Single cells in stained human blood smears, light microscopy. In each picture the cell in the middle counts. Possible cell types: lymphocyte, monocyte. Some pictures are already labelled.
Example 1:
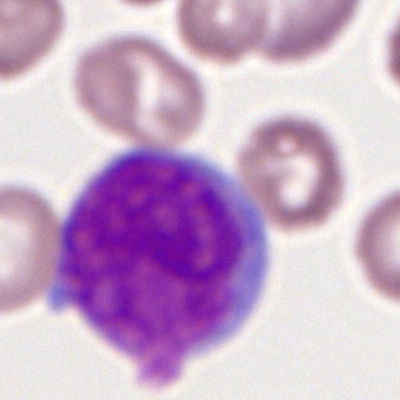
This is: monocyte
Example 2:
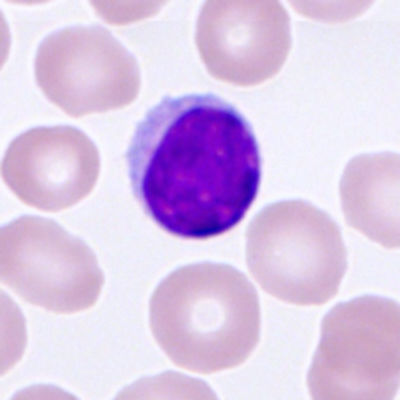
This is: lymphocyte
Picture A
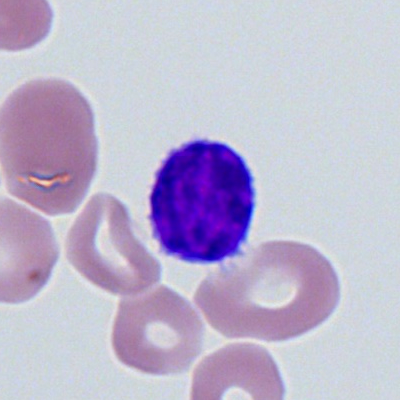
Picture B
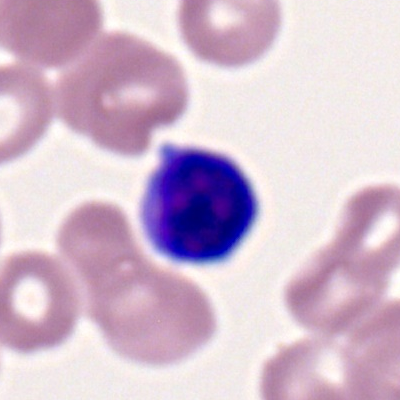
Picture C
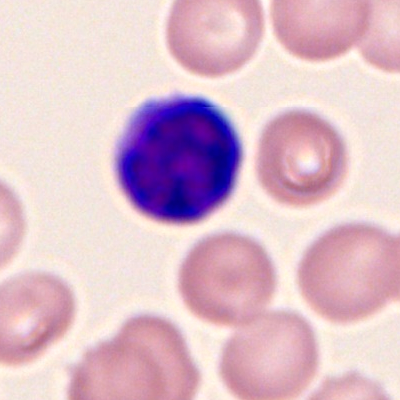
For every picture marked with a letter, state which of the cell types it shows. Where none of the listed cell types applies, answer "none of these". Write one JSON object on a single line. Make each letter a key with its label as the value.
{"A": "lymphocyte", "B": "lymphocyte", "C": "lymphocyte"}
